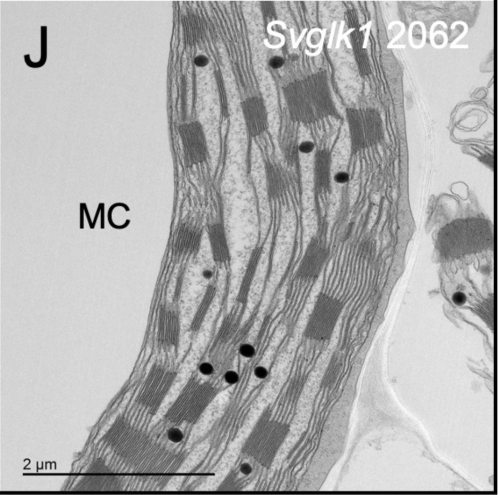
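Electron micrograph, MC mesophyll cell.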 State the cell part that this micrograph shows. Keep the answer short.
Chloroplast.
